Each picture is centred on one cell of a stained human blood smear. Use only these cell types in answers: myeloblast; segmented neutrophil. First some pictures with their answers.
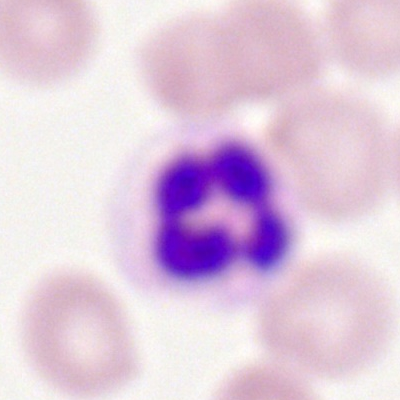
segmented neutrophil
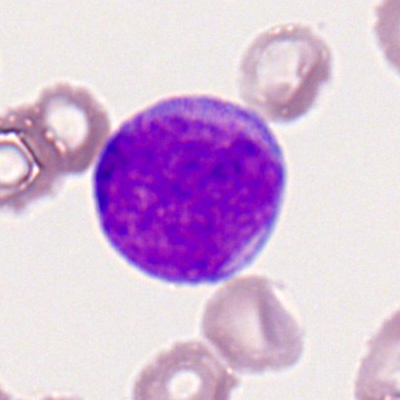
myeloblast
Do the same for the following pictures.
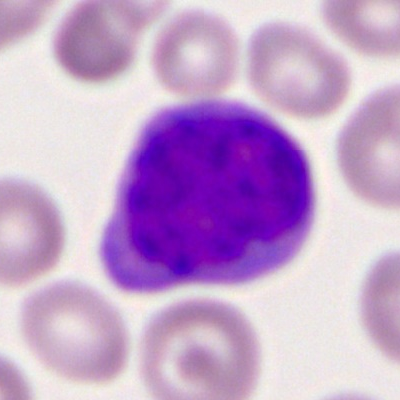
myeloblast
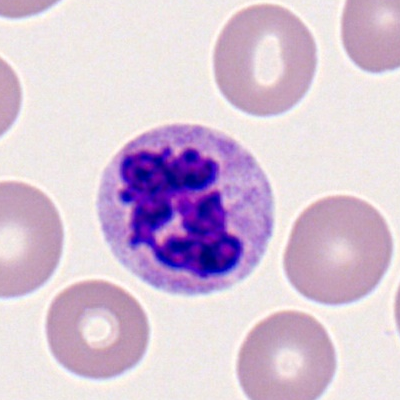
segmented neutrophil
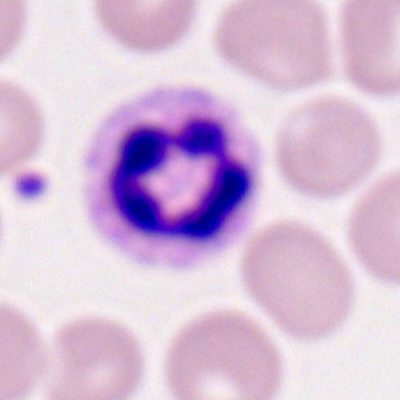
segmented neutrophil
